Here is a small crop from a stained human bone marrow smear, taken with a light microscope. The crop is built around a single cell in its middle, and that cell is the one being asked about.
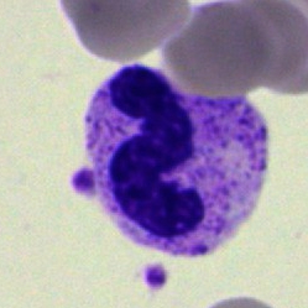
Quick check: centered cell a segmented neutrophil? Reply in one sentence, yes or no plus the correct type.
Yes, the cell at the center of the crop is a segmented neutrophil.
